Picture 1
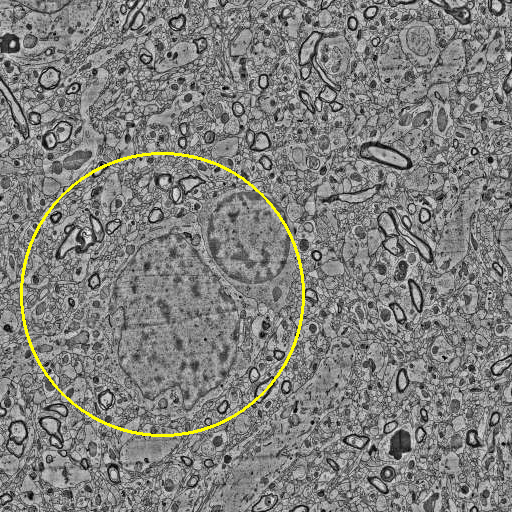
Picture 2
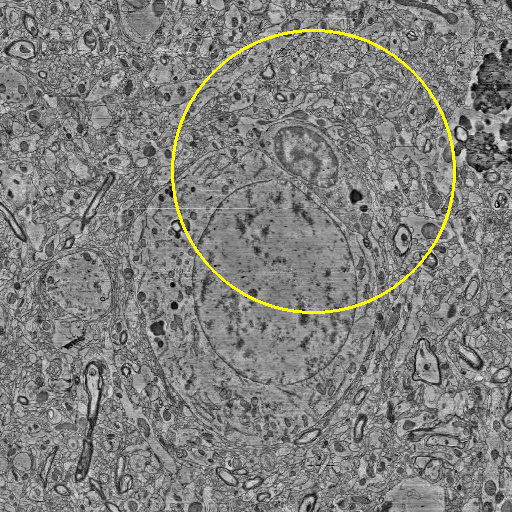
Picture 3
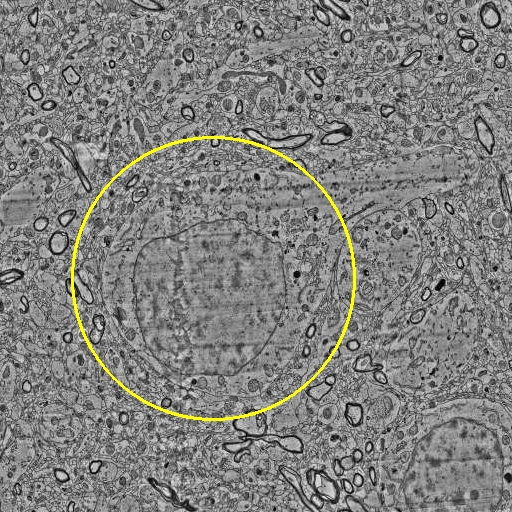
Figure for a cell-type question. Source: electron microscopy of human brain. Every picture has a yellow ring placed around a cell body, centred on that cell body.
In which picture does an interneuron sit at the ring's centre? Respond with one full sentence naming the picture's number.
The cell in the middle of the ring in picture 1 is the one sought.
